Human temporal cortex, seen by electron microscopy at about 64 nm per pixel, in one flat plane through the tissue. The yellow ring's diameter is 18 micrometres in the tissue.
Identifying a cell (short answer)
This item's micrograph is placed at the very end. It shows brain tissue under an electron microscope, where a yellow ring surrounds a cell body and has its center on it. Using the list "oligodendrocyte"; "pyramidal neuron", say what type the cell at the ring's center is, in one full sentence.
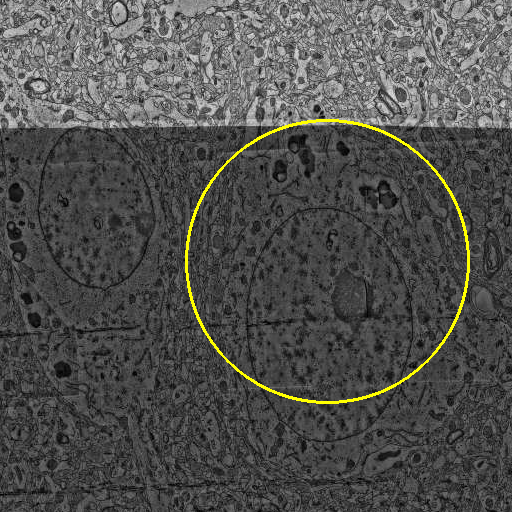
This picture shows a pyramidal neuron at the center of the yellow ring drawn on it.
